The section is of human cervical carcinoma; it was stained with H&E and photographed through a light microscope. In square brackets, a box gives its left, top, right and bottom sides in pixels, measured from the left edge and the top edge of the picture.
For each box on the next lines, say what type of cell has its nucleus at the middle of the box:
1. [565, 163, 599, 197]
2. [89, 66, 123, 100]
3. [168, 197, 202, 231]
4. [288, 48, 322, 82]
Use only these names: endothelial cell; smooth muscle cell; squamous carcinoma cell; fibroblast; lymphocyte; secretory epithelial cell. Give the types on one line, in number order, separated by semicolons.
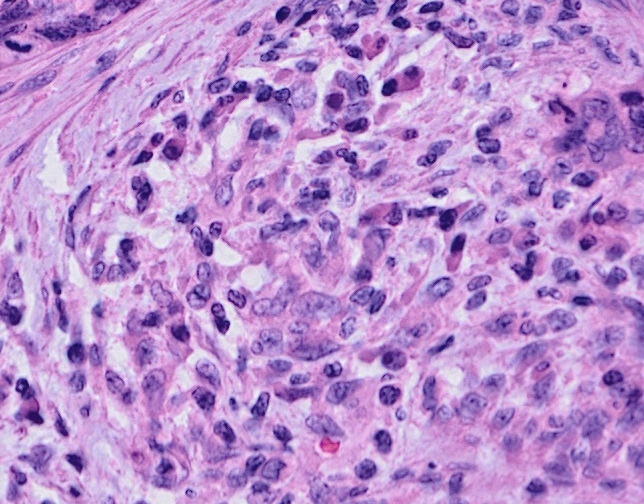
lymphocyte; fibroblast; lymphocyte; lymphocyte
